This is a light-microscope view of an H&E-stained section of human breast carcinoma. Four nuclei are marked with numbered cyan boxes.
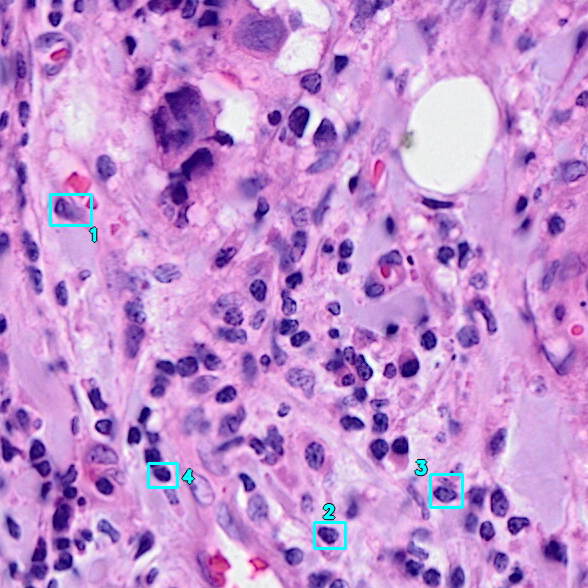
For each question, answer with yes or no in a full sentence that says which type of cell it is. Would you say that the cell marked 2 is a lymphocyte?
Yes, as for number 2, the cell is a lymphocyte.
